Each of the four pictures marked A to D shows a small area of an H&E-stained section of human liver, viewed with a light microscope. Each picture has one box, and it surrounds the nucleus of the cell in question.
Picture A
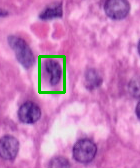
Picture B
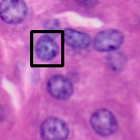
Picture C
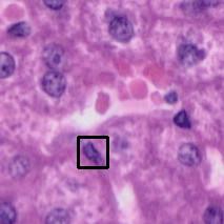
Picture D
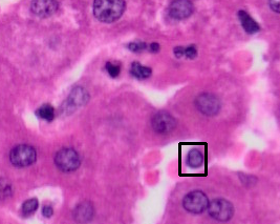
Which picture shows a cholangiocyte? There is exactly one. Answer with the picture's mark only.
B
